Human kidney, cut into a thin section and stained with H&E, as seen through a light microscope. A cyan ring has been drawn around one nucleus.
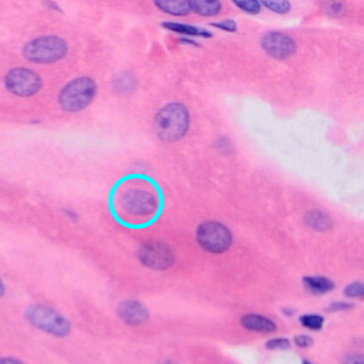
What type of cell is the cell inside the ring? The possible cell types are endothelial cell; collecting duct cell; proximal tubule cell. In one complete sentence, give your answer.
The cell type of the cell inside the ring is that of a proximal tubule cell.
